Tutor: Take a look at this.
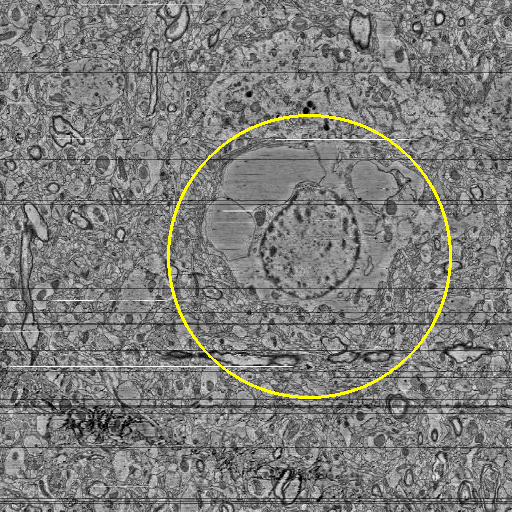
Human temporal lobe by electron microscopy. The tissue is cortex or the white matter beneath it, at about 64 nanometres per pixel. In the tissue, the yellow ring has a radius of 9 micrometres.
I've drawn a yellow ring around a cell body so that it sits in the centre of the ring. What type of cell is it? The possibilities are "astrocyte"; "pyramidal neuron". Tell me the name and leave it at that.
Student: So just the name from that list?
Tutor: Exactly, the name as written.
astrocyte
